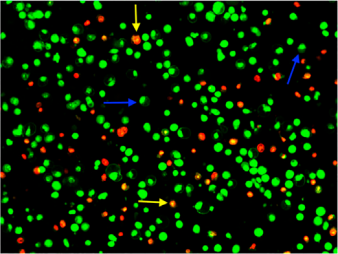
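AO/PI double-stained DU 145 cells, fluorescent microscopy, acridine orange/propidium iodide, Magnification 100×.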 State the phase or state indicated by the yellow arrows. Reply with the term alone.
Late apoptosis cells.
